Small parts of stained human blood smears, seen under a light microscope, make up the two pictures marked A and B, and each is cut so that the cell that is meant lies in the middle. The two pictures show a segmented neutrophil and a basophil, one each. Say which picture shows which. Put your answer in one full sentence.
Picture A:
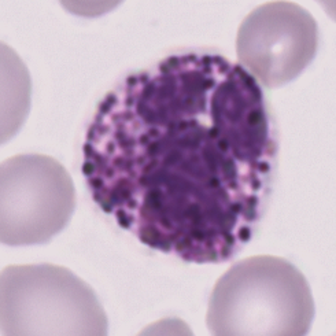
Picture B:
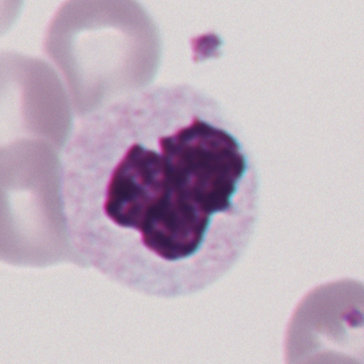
It is picture A that shows a basophil, and picture B that shows a segmented neutrophil.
